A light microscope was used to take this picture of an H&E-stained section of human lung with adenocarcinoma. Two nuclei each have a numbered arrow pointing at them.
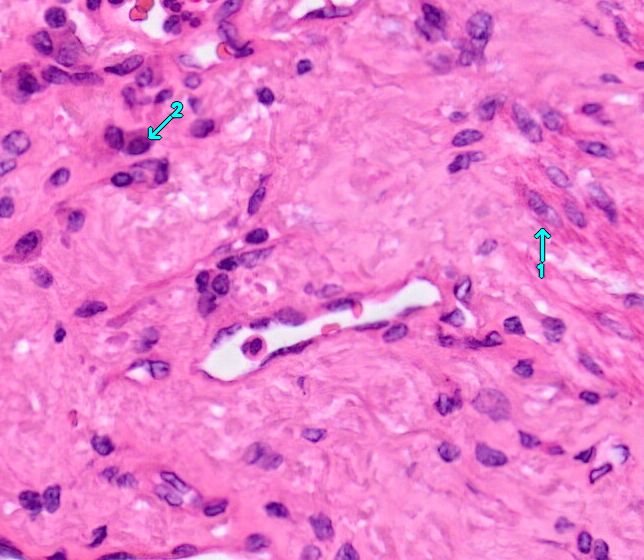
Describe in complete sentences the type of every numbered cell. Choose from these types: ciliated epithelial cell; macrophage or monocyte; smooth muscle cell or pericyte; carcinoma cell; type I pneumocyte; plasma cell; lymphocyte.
Cell 1 is a smooth muscle cell or pericyte and cell 2 is a plasma cell.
